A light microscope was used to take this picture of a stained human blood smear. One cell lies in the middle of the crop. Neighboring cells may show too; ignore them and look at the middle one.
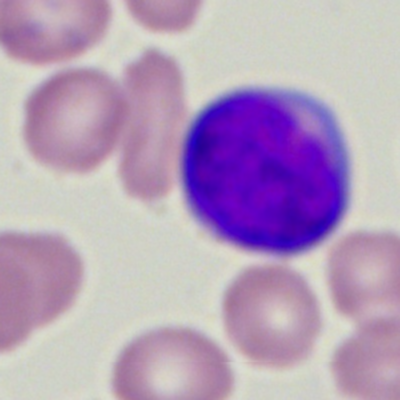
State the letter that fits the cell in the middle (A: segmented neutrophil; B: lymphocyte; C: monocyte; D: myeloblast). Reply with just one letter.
B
